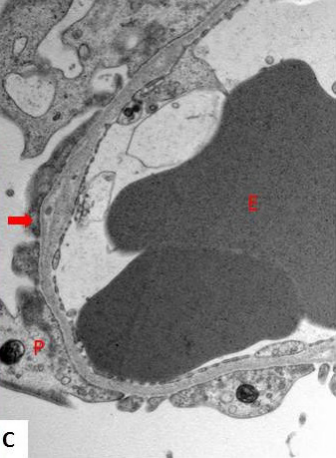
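An electron micrograph of a glomerular capillary loop, with large, uniformly dense red blood cells filling the lumen. A thin basement membrane runs along the lumen, with podocyte cytoplasm and foot processes on its outer side.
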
